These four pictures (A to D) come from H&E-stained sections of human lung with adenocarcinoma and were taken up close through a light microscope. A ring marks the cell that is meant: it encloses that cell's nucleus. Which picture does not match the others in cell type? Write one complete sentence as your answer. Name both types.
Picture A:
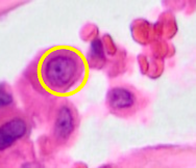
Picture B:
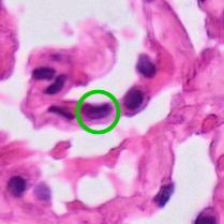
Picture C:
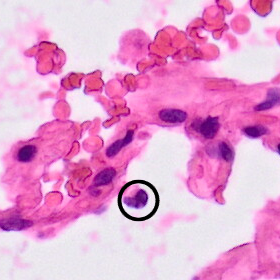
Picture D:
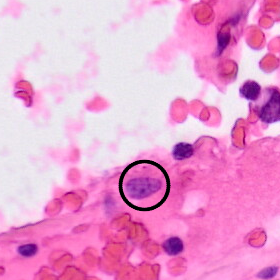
Unlike the rest, which show type I pneumocytes, picture A shows a “macrophage or monocyte”.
